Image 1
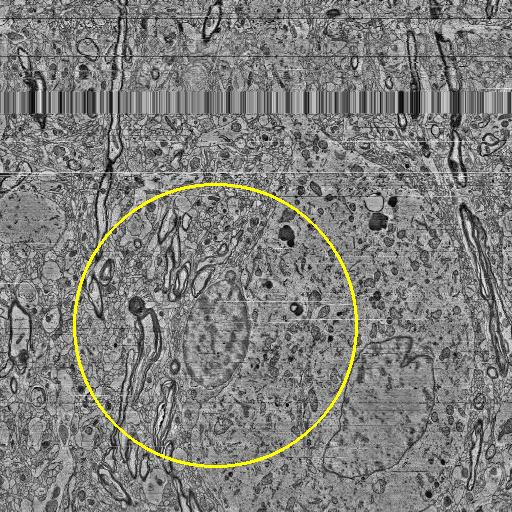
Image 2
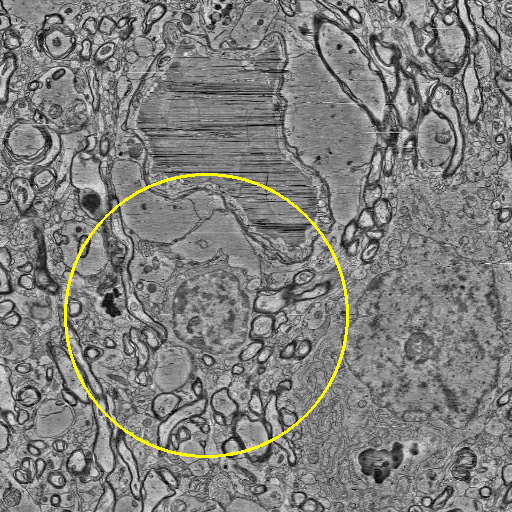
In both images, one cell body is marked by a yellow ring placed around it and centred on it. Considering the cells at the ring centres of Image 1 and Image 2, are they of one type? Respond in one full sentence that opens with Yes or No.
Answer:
Yes, a single type applies to the ring-centred cells of both Image 1 and Image 2.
